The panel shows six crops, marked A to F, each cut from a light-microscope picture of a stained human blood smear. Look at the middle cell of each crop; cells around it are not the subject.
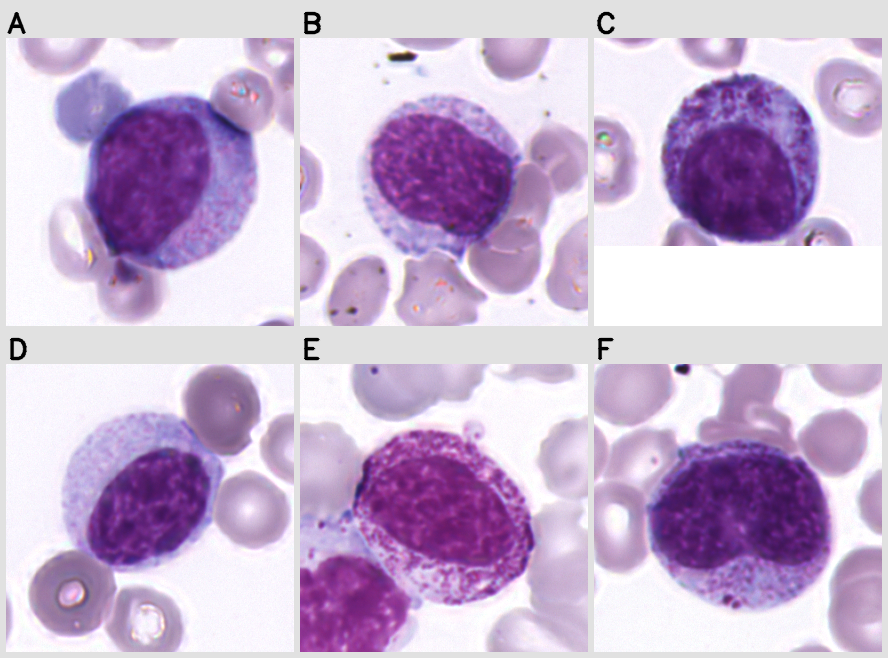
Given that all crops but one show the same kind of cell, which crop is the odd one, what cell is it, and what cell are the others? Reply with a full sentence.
Crop A presents a promyelocyte, while myelocytes are presented by all other crops.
